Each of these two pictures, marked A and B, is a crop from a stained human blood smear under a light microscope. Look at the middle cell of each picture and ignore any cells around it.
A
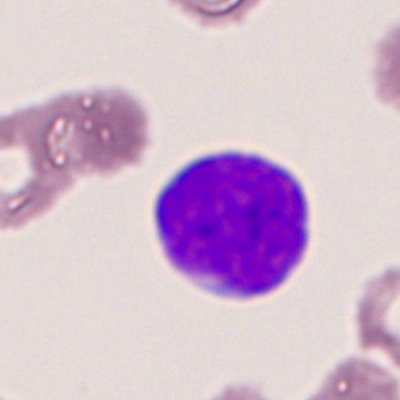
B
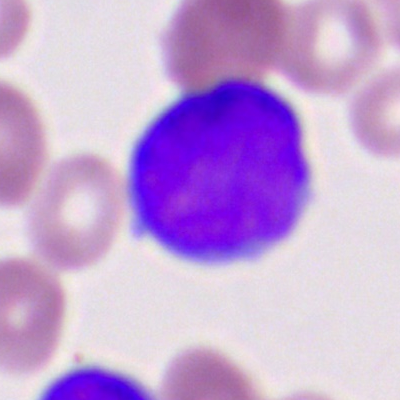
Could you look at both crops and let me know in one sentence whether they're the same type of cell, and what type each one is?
Yes, the central cells, in both crops, are myeloblasts.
